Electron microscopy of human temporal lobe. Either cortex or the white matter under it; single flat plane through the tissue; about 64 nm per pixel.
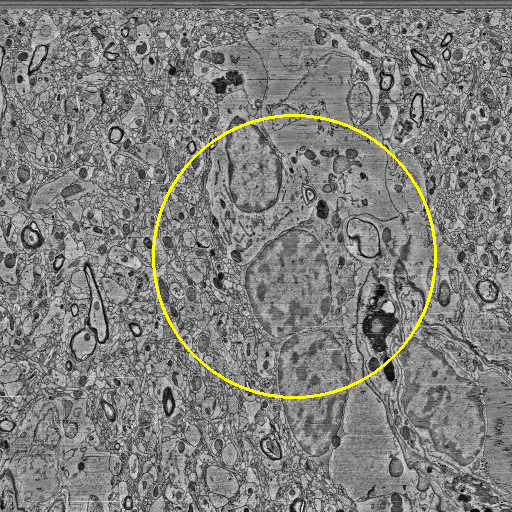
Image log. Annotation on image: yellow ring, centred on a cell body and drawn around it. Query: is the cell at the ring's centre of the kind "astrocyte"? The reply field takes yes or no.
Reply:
no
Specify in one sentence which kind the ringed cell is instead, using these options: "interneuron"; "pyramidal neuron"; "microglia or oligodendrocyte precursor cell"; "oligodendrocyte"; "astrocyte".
Instead, the cell inside the ring is an oligodendrocyte.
